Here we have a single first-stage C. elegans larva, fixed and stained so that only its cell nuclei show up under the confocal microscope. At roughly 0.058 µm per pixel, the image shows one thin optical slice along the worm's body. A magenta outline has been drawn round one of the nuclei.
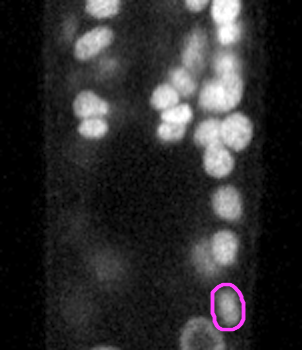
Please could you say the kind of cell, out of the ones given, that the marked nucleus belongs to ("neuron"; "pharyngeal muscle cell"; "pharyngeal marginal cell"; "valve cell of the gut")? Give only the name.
neuron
